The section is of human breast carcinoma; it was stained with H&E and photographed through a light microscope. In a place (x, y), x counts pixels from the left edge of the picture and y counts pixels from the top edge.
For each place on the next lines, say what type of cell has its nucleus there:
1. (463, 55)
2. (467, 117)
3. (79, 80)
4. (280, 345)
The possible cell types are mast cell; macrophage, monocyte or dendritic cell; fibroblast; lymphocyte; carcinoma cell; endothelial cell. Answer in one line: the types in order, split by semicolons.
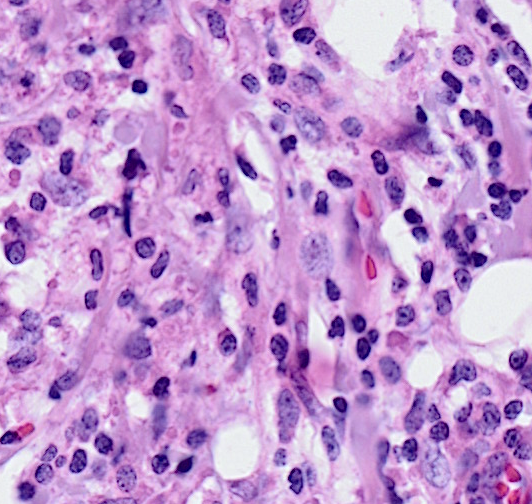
mast cell; lymphocyte; macrophage, monocyte or dendritic cell; lymphocyte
